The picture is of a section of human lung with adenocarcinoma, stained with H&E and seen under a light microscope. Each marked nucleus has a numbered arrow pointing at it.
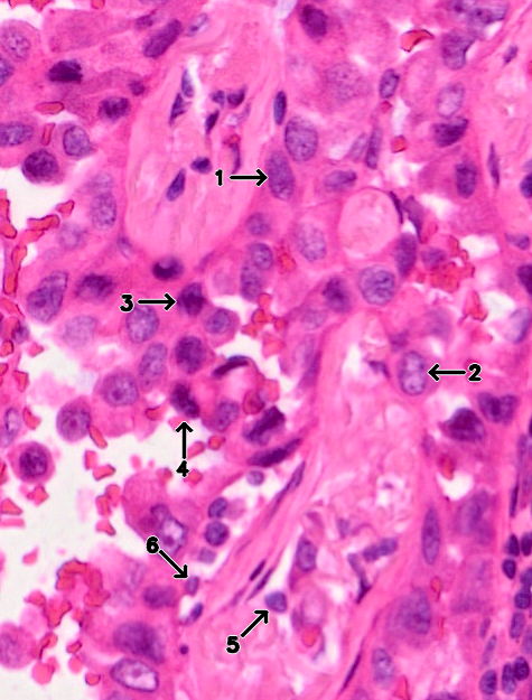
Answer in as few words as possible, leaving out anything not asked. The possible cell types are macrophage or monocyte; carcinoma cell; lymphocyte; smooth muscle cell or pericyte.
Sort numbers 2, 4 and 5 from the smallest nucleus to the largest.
5, 4, 2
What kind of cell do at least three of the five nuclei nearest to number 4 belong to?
carcinoma cell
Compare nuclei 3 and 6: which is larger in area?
3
